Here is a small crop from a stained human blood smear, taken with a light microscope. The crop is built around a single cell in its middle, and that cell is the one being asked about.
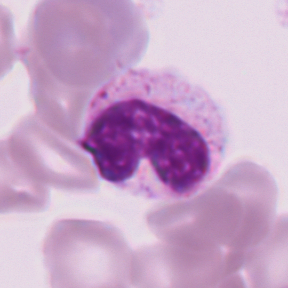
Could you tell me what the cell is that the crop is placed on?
band neutrophil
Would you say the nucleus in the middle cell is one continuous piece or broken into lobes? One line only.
The cell carries one compact nucleus shaped round, oval or like a kidney.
